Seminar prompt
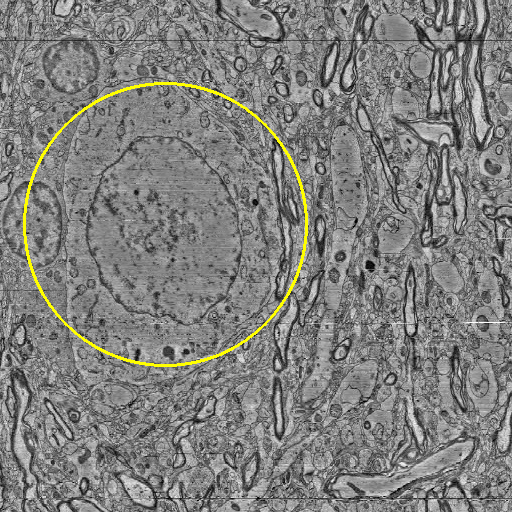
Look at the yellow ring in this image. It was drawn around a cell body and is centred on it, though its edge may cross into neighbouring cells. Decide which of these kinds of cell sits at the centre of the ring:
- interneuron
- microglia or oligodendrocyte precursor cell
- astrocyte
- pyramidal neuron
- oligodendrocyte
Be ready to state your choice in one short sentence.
The kind of cell at the ring's centre is a pyramidal neuron.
